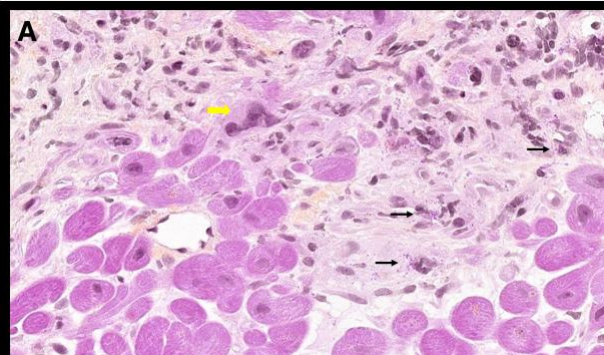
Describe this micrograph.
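Heart muscle with an inflammatory infiltrate in the interstitium and a multinucleated giant cell. Cardiac muscle fibres, cut across, appear as rounded pink-purple profiles with central nuclei in the lower left and right of the field. Between them lies a loose, pale interstitium crowded with small cells with dark, irregular nuclei. Near the edge of the muscle bundle a large cell with several dark nuclei clustered together stands out among the smaller inflammatory cells.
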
